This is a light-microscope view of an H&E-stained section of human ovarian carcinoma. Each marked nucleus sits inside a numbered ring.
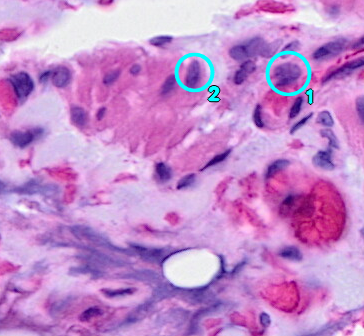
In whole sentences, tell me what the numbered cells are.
Cell 1 is an endothelial cell. Cell 2 is a smooth muscle cell.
